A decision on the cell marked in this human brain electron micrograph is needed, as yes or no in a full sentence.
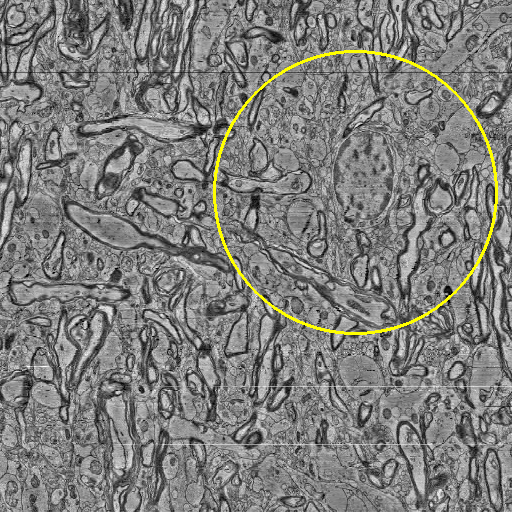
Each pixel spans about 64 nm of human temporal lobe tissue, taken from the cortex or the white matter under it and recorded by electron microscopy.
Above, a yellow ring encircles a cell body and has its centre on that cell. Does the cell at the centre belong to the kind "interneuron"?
No, a different kind fits the cell at the centre of the ring in the picture.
